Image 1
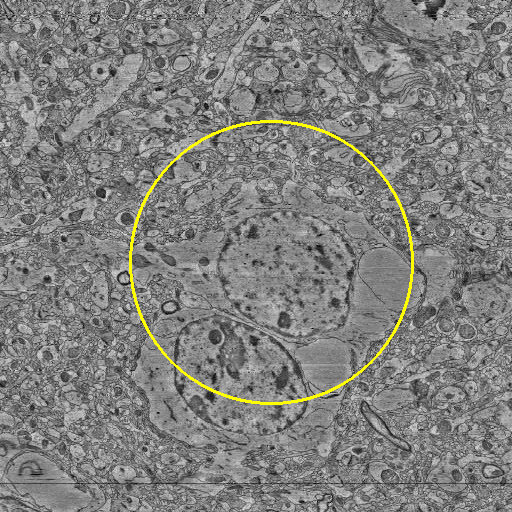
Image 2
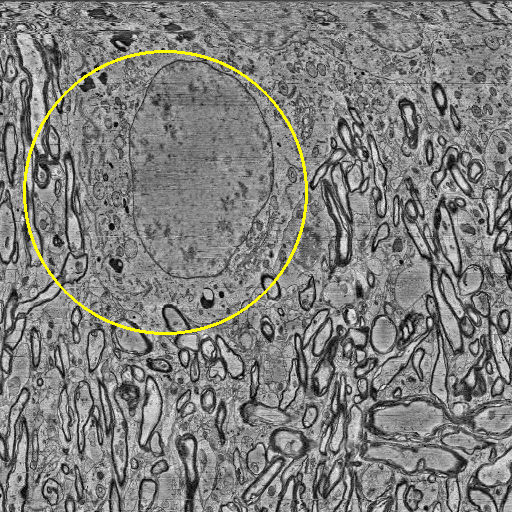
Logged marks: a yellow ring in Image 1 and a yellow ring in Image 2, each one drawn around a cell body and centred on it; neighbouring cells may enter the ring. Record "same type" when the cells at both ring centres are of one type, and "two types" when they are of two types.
two types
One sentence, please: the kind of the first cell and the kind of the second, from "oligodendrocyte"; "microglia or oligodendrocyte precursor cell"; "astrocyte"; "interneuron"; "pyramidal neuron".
The ring in the first picture surrounds an astrocyte, and the ring in the second surrounds a pyramidal neuron.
